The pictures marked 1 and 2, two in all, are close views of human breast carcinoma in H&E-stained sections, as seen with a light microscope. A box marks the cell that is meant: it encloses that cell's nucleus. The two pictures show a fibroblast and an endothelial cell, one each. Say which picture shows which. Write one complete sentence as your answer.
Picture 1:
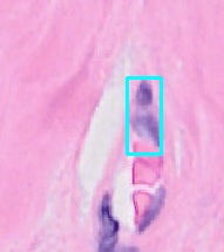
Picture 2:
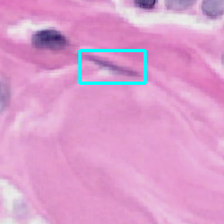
The cell in picture 1 is an endothelial cell, and the one in picture 2 is a fibroblast.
